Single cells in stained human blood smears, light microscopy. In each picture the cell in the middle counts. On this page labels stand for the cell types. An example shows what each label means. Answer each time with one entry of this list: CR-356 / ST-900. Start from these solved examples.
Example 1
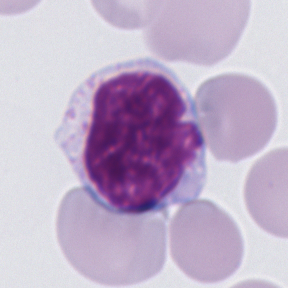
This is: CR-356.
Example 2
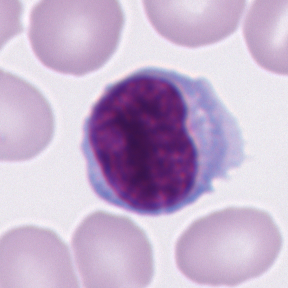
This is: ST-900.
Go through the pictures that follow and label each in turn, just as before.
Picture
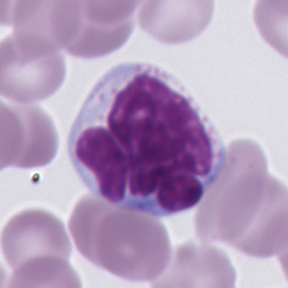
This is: CR-356.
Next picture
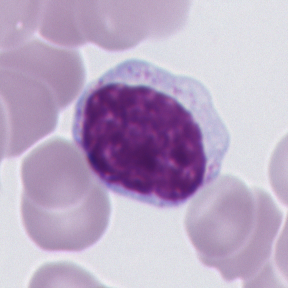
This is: CR-356.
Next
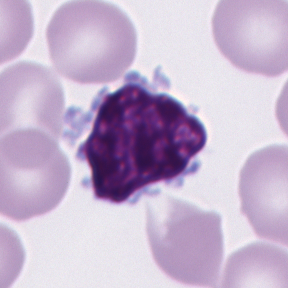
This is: ST-900.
